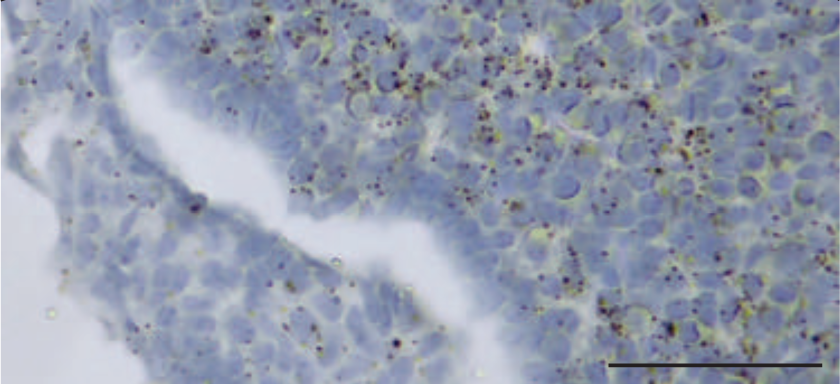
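Densely packed small cells with round blue nuclei fill the field, with a pale elongated cleft running diagonally at left. Many dark brown dots are scattered over the cytoplasm of the cells to the right of the cleft, fewer near it.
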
